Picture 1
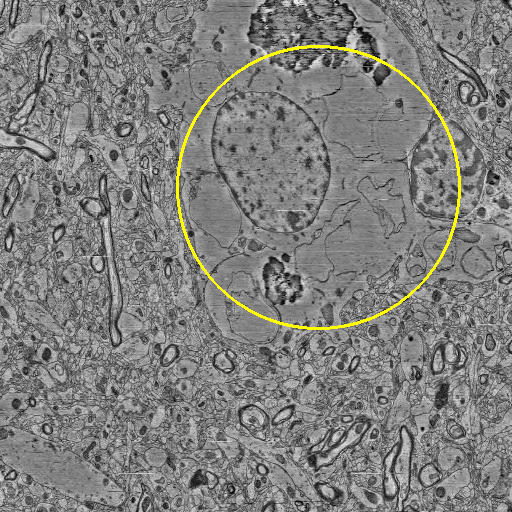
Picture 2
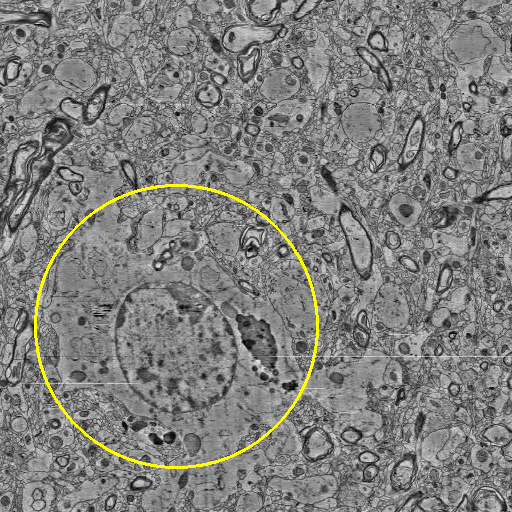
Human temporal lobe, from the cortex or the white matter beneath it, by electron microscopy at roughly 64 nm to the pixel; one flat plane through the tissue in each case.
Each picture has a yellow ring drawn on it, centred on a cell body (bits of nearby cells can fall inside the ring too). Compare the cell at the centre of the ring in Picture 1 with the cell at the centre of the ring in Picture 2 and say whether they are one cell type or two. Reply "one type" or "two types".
one type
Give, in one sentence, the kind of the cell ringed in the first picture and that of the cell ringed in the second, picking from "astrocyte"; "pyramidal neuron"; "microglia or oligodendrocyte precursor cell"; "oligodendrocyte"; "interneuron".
Each one of the two ringed cells is an astrocyte.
